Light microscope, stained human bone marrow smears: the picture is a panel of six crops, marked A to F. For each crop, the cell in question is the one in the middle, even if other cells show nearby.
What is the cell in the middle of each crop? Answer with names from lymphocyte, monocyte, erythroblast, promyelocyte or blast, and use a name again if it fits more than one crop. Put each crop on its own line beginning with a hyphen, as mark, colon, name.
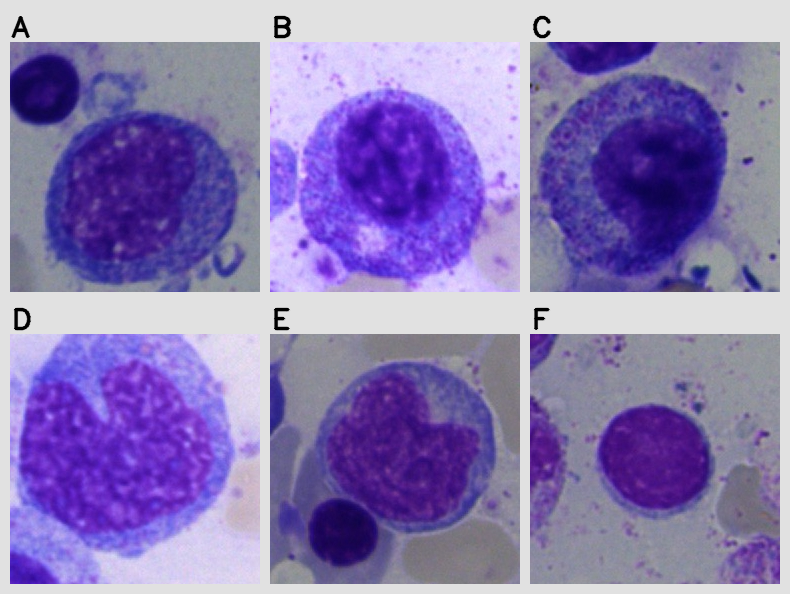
- A: blast
- B: promyelocyte
- C: promyelocyte
- D: monocyte
- E: monocyte
- F: lymphocyte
